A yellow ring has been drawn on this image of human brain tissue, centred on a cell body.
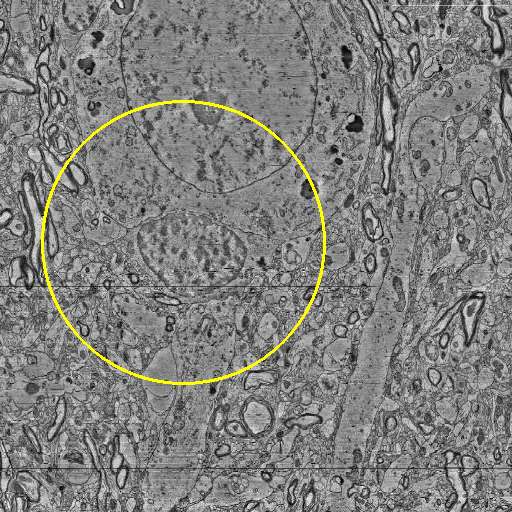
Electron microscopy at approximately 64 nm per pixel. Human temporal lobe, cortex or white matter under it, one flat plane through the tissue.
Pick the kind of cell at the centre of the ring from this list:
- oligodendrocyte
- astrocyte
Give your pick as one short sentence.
The centre of the ring holds an oligodendrocyte.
